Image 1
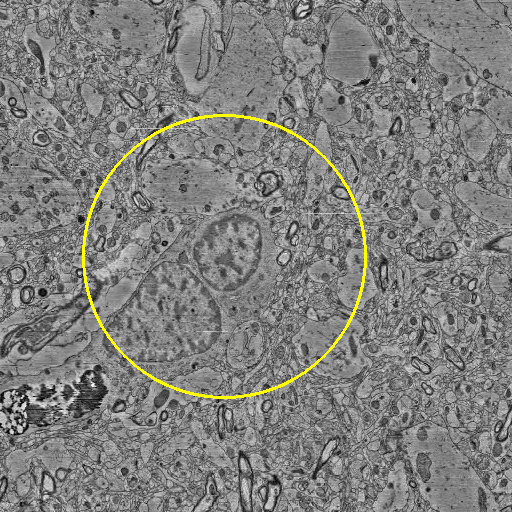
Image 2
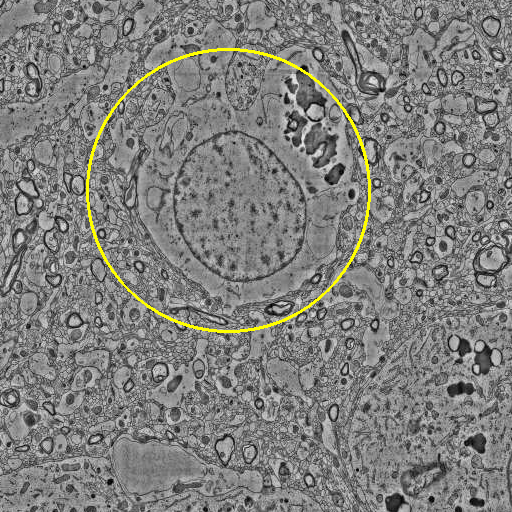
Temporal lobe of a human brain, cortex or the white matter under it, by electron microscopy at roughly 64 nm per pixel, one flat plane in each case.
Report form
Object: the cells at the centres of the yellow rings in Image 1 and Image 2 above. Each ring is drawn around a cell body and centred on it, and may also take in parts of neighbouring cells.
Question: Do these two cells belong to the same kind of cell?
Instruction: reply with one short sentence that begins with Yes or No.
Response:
No, they belong to two kinds of cell.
